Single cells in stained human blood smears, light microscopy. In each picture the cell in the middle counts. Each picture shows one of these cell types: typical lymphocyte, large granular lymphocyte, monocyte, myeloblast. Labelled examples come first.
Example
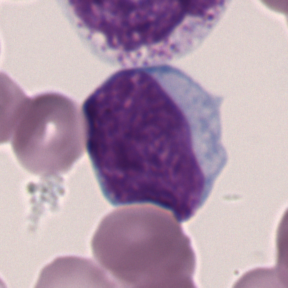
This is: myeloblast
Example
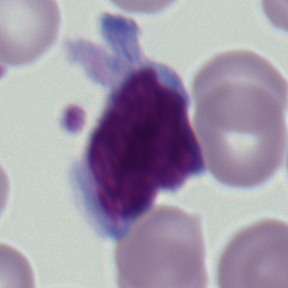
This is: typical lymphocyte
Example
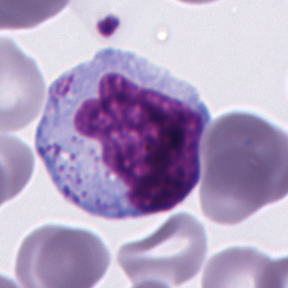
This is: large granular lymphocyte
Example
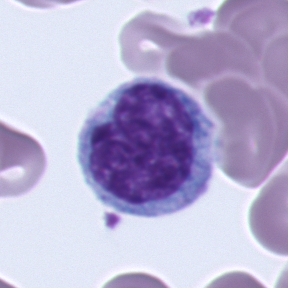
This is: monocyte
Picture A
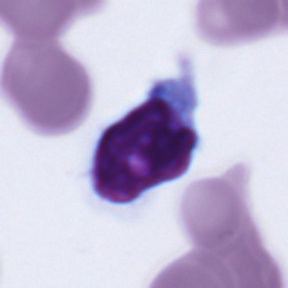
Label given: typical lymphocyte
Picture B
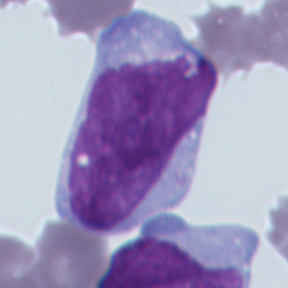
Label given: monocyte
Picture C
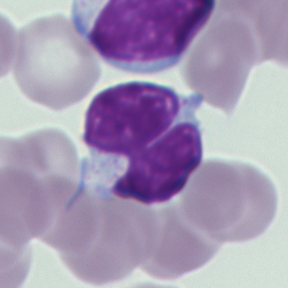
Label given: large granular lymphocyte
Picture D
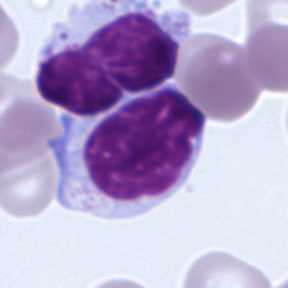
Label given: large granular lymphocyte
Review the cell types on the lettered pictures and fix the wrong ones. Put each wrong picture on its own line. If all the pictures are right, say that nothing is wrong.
B: change monocyte to myeloblast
